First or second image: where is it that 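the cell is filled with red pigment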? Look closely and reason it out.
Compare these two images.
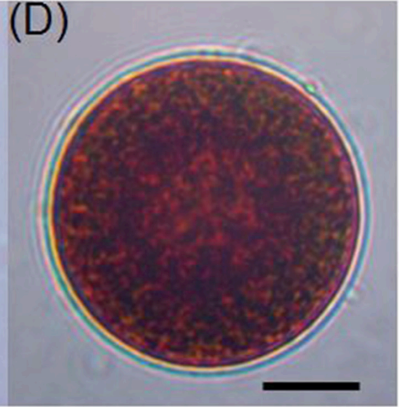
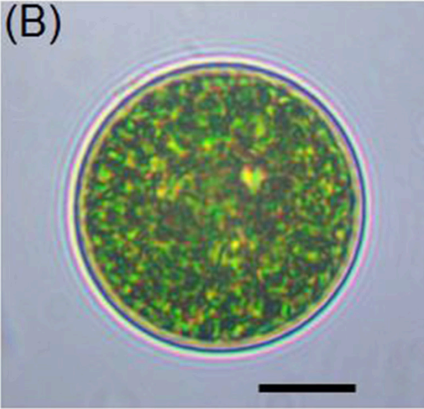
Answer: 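The first image. First image: the spherical cell is deep red throughout. Second image: the spherical cell is green throughout.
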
